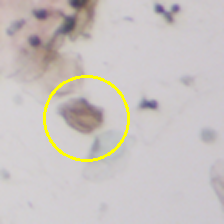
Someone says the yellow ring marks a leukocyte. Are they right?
They are not: the ring marks a cornified epithelial cell.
